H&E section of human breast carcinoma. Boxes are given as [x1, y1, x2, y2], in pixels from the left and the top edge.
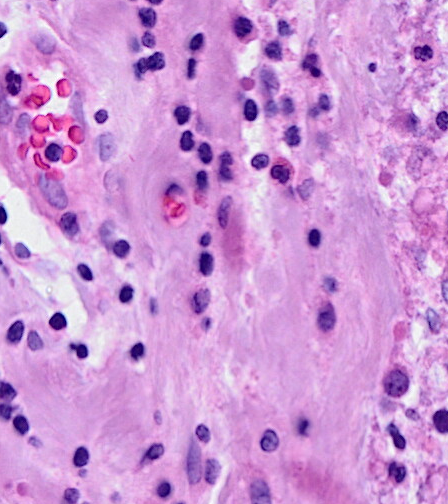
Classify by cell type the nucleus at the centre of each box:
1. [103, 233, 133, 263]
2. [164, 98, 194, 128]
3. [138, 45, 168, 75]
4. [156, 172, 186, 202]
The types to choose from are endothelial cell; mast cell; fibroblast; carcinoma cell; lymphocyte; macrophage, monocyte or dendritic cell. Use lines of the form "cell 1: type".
cell 1: lymphocyte
cell 2: lymphocyte
cell 3: lymphocyte
cell 4: endothelial cell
